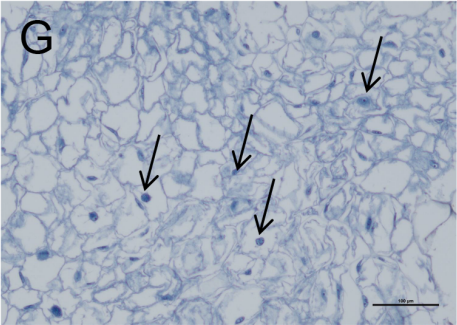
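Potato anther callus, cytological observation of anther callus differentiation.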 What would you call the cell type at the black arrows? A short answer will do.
Embryonic cells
